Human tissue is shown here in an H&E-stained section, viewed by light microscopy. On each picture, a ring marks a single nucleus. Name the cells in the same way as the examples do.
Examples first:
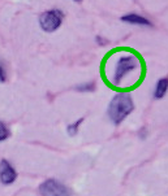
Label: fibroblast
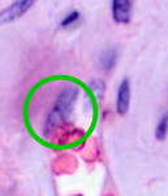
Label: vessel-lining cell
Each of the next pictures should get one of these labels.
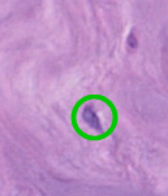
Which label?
fibroblast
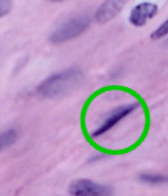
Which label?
fibroblast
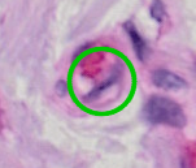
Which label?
vessel-lining cell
